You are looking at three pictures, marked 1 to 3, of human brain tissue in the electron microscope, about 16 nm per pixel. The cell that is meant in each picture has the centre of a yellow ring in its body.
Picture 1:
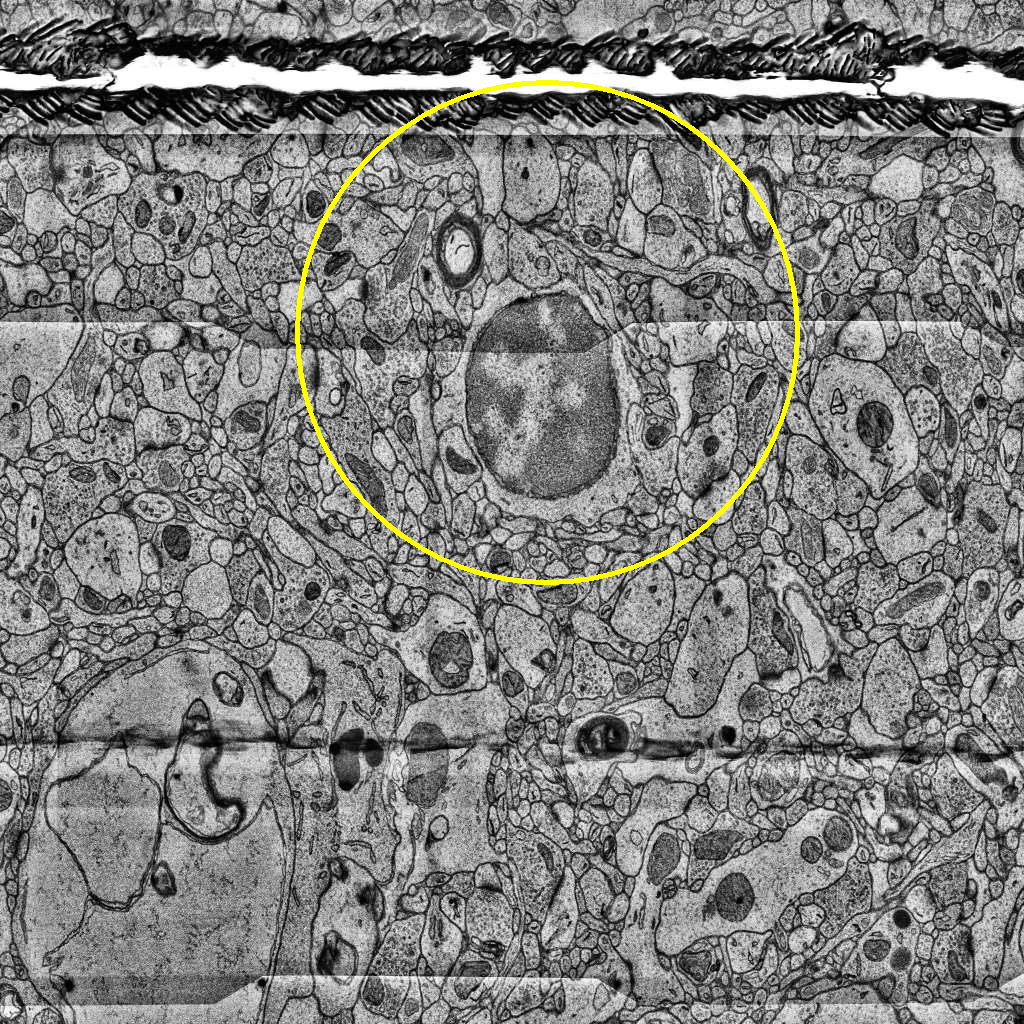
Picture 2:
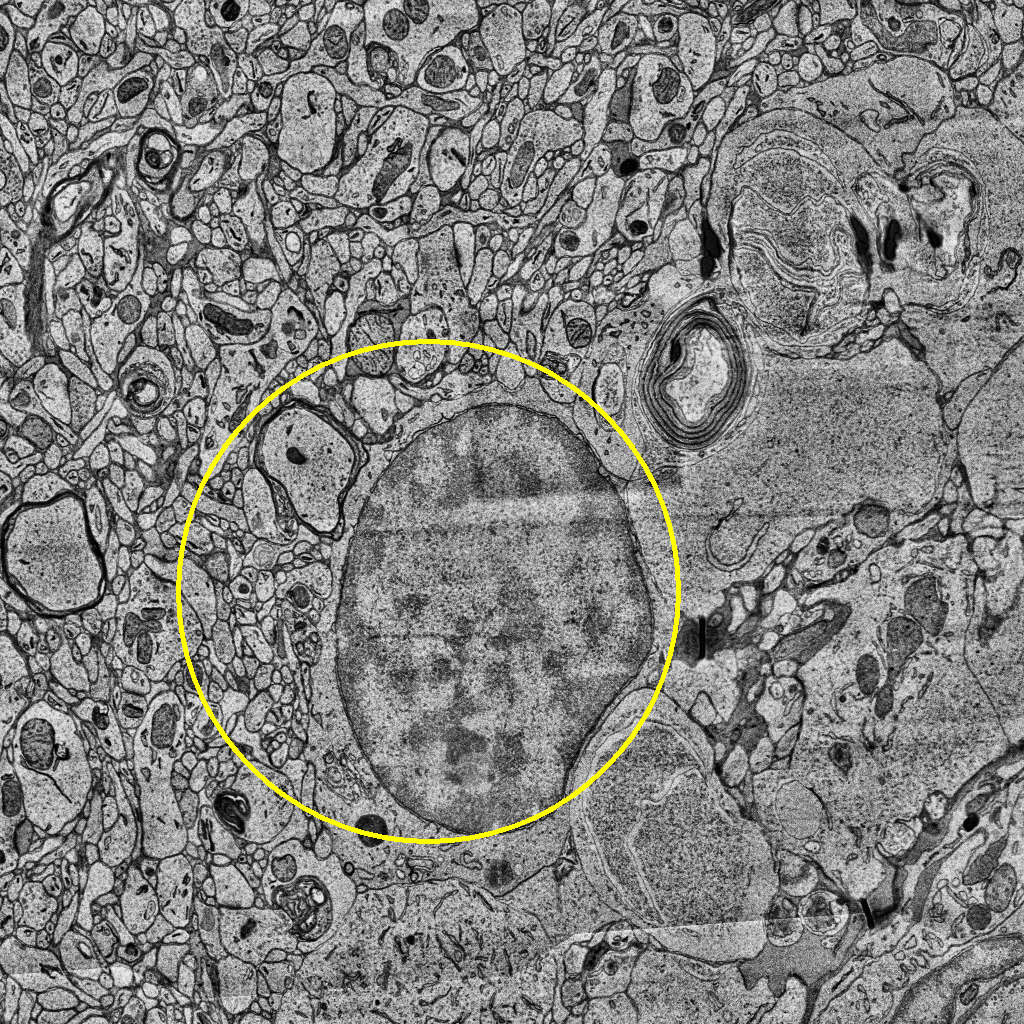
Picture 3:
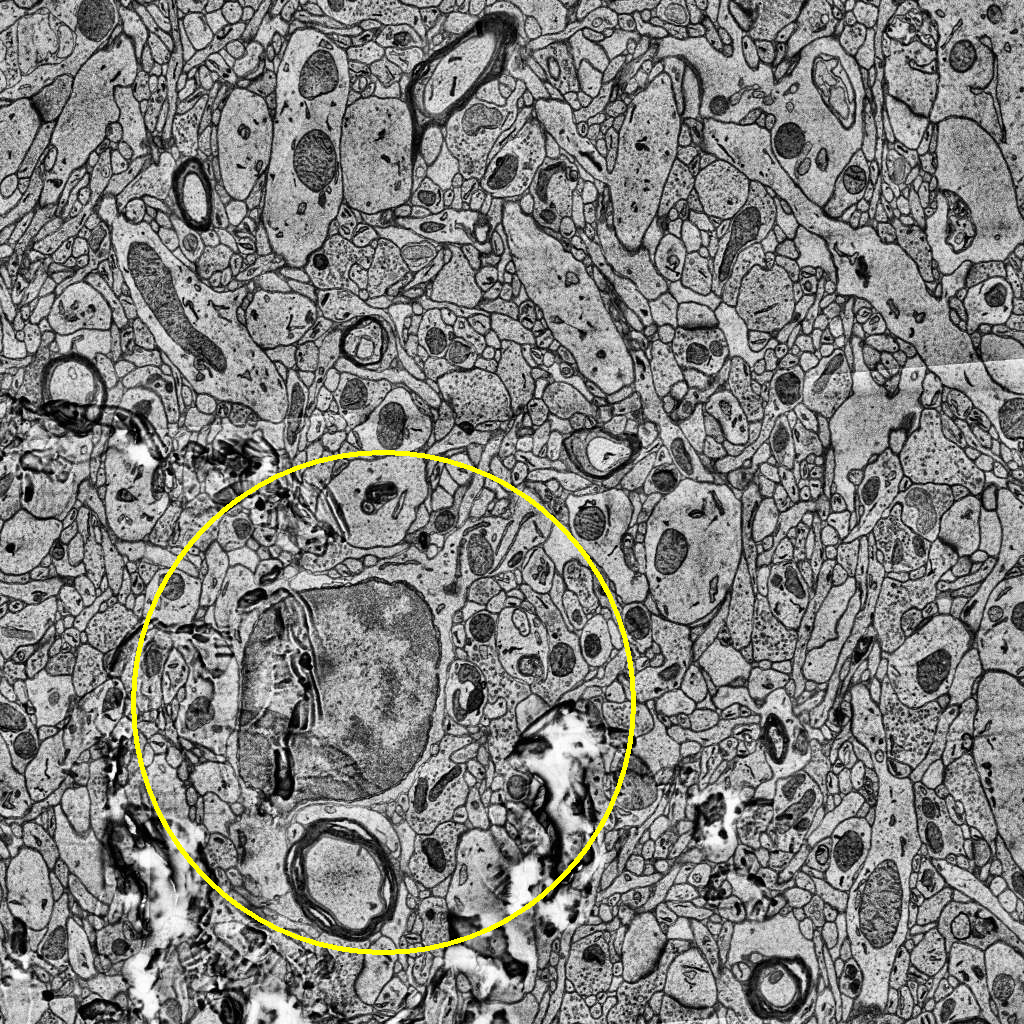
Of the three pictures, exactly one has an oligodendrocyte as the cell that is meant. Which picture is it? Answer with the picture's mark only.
2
